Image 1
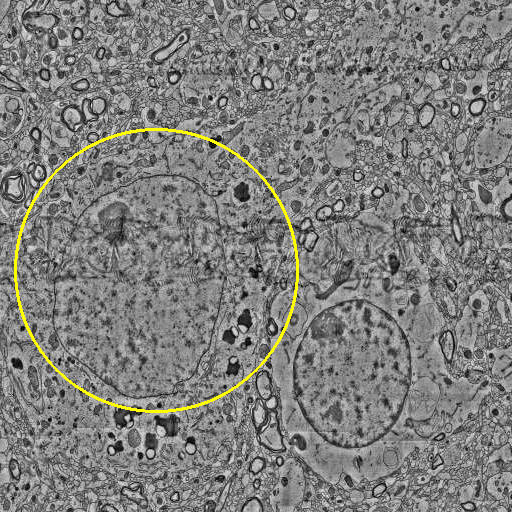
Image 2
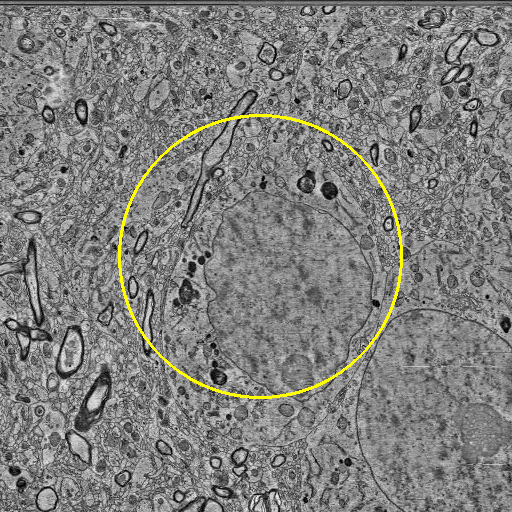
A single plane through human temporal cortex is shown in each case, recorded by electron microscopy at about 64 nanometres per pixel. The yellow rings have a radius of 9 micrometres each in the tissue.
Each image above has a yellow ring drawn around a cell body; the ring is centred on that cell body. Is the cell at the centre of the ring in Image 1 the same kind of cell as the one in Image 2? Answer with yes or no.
yes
